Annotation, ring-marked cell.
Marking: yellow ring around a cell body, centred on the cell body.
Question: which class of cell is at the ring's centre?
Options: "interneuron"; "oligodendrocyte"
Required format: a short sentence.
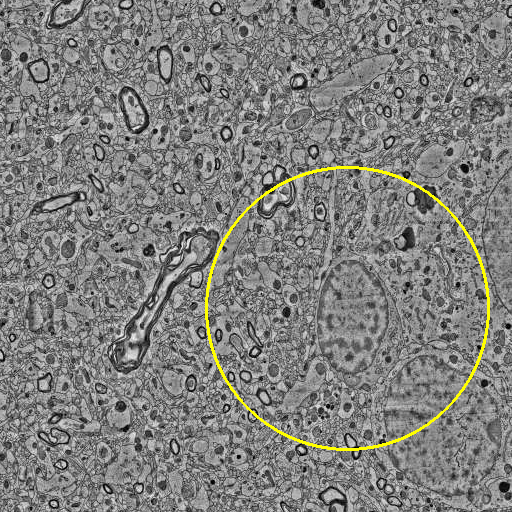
At the ring's centre is an oligodendrocyte.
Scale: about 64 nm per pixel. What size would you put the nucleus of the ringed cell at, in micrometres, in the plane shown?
The nucleus measures about 7 by 5 micrometres, so it is clearly longer than it is wide in this plane.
